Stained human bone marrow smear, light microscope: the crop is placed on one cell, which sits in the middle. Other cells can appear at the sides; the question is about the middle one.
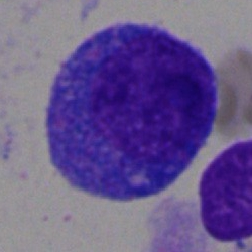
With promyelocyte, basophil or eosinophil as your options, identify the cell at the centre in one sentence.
Here the cell in the middle is a promyelocyte.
